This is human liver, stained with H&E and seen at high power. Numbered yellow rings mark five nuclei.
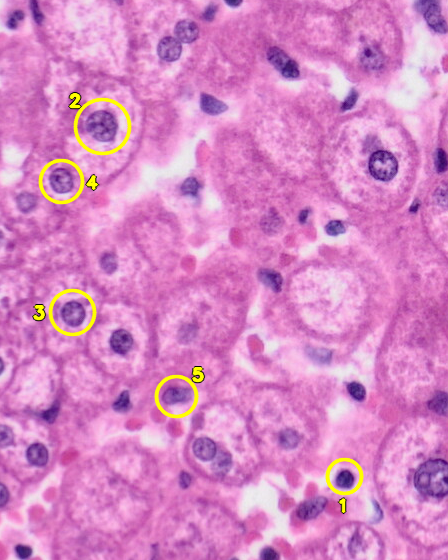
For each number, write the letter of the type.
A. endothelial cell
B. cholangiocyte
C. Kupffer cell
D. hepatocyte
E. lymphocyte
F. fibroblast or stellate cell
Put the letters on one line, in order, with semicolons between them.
E; D; D; D; C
